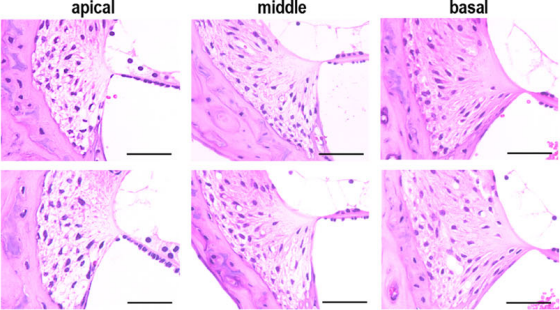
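These sections show the outer wall of the cochlear duct, a loose connective tissue pressed against bone. The tissue is pale and airy, with fine pink fibres forming a meshwork, and scattered through it are fibrocytes whose nuclei are small, dark and oval or spindle shaped, with little visible cytoplasm. Cells lie more thickly near one part of each field and more sparsely in the looser regions.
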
